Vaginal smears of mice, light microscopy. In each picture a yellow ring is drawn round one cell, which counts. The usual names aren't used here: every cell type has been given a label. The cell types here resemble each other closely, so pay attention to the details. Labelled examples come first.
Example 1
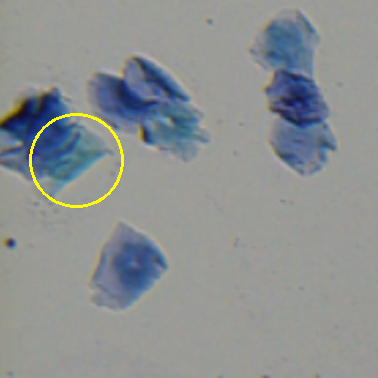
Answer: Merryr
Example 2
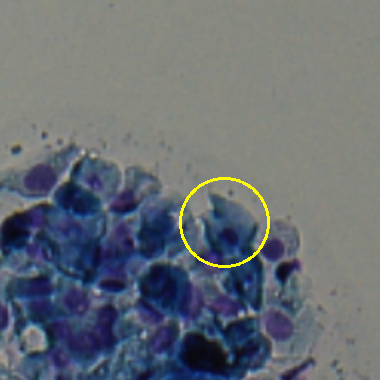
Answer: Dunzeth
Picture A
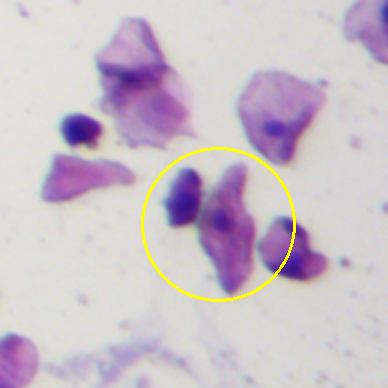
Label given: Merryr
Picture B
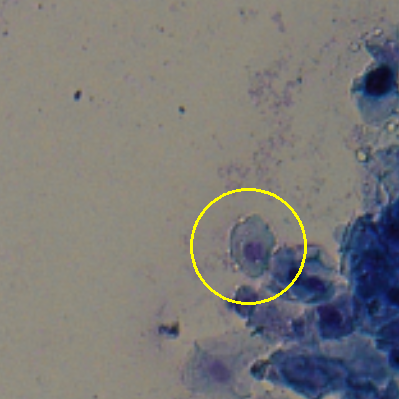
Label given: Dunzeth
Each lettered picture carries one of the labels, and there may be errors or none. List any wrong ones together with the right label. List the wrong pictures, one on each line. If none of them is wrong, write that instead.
A: Dunzeth, not Merryr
